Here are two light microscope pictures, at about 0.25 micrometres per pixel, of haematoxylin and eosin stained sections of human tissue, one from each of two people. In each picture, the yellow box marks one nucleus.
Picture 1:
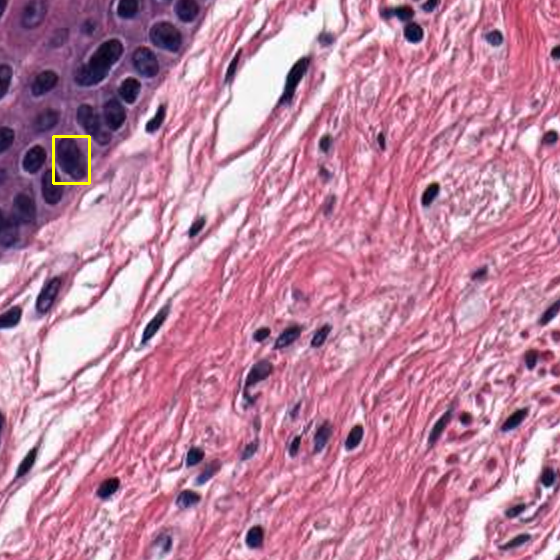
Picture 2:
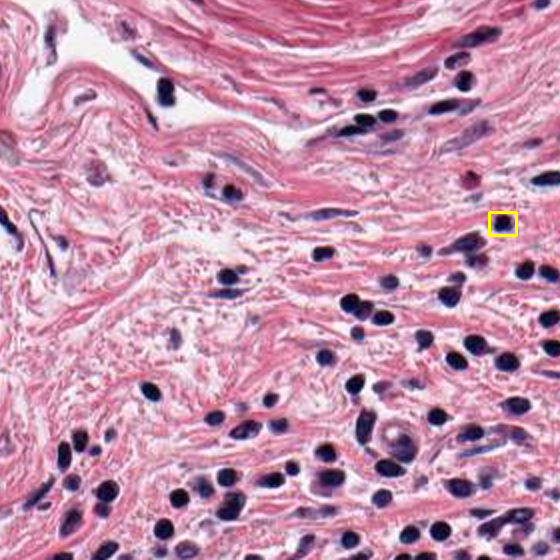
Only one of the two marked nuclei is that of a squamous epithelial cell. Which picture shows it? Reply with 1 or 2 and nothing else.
1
